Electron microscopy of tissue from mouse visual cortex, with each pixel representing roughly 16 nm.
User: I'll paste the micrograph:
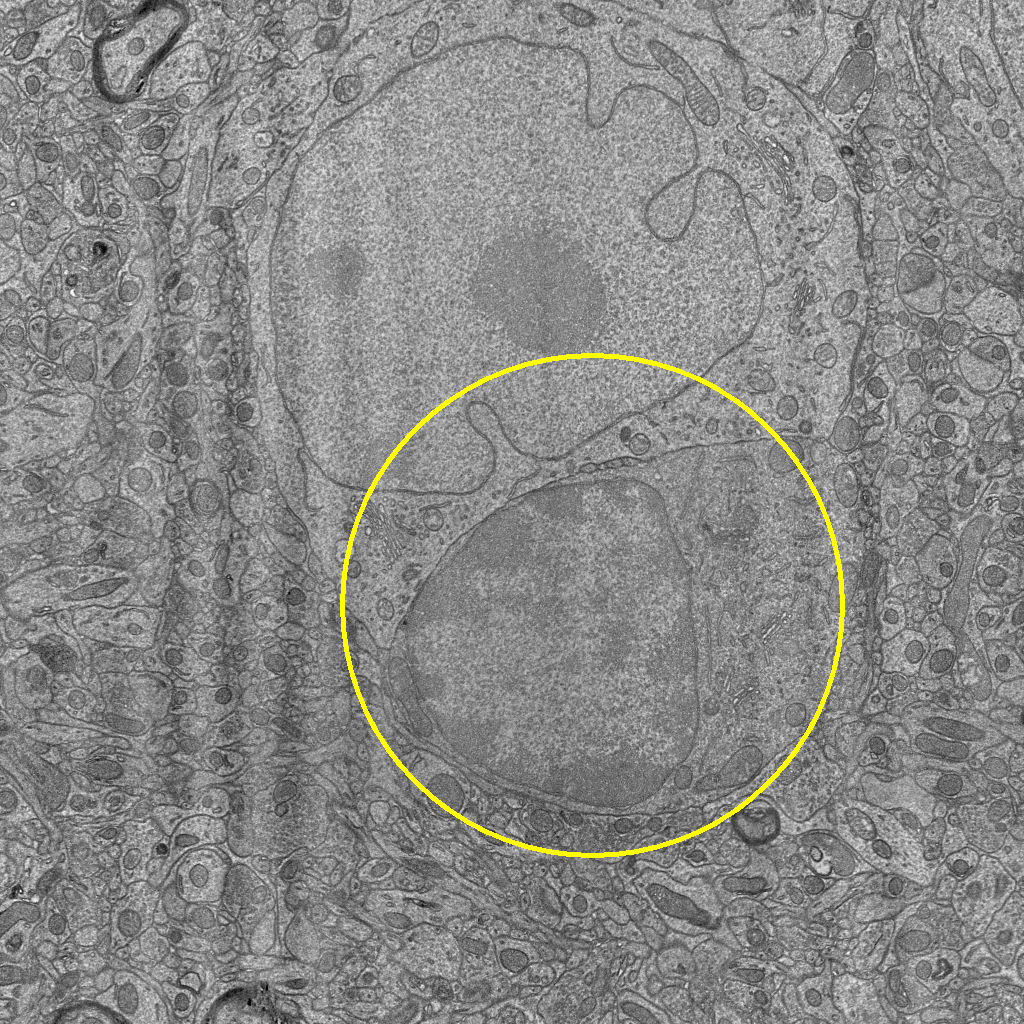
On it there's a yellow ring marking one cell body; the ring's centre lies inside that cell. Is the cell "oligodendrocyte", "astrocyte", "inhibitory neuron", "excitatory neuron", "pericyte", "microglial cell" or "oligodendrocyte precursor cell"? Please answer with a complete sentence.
The cell at the centre of the yellow ring is an oligodendrocyte.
